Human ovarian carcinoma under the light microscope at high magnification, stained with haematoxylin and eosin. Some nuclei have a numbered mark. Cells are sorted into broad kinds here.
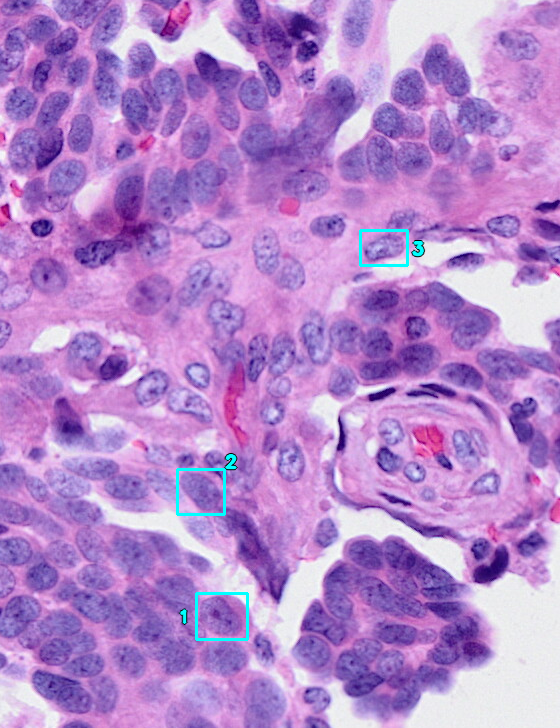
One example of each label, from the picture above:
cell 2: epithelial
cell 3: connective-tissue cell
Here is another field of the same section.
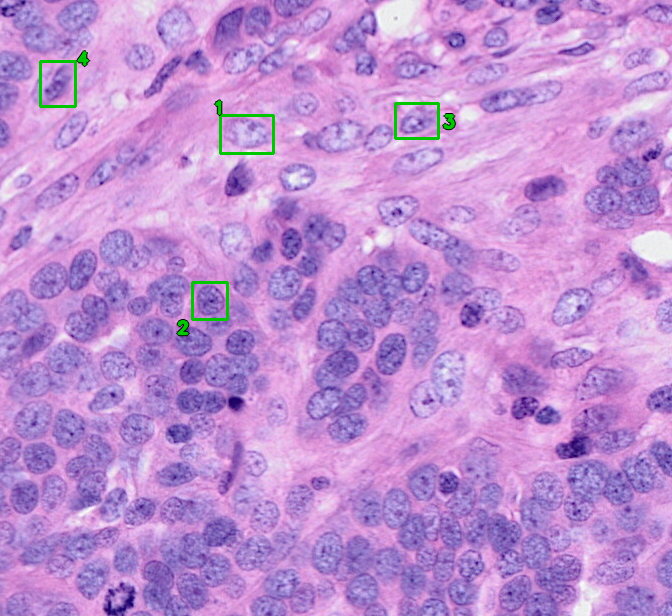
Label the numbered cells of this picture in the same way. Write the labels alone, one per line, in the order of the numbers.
connective-tissue cell
epithelial
connective-tissue cell
connective-tissue cell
